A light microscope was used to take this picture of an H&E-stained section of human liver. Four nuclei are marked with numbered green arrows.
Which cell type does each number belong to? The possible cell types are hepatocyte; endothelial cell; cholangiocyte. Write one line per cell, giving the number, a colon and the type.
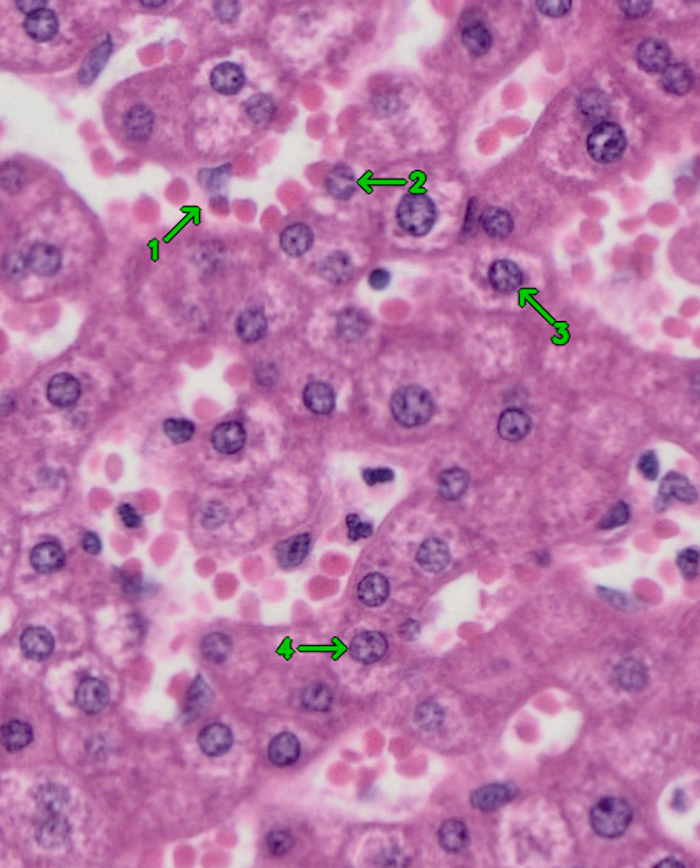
1: endothelial cell
2: hepatocyte
3: hepatocyte
4: hepatocyte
